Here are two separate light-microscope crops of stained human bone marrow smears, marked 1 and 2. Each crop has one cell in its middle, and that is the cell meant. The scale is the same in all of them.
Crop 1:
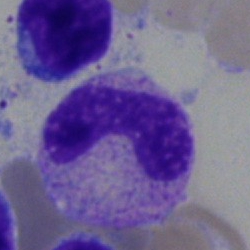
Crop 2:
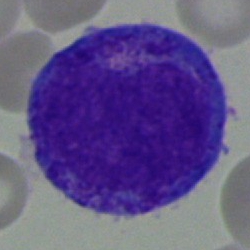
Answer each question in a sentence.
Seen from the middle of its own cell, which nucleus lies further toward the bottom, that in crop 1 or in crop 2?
It is the nucleus in crop 2 that lies further toward the bottom of its cell.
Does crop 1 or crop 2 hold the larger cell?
It is the cell in crop 2, about 1.5 times as large in area as the cell in crop 1.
